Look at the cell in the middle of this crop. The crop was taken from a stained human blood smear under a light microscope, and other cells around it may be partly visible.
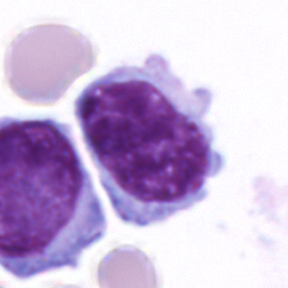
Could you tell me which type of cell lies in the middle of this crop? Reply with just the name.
plasma cell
